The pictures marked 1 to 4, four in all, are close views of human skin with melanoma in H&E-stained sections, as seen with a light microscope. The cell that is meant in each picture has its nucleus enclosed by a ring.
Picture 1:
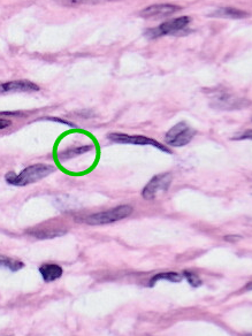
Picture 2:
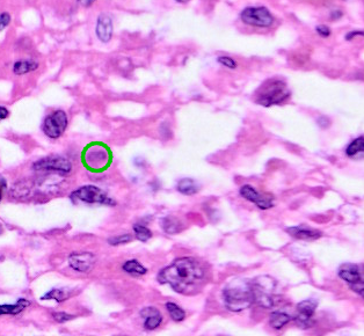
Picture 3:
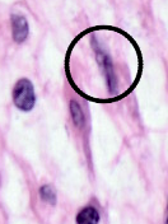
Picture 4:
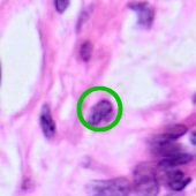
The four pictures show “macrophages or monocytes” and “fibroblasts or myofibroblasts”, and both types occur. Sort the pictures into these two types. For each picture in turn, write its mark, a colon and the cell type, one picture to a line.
1: fibroblast or myofibroblast
2: macrophage or monocyte
3: fibroblast or myofibroblast
4: macrophage or monocyte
